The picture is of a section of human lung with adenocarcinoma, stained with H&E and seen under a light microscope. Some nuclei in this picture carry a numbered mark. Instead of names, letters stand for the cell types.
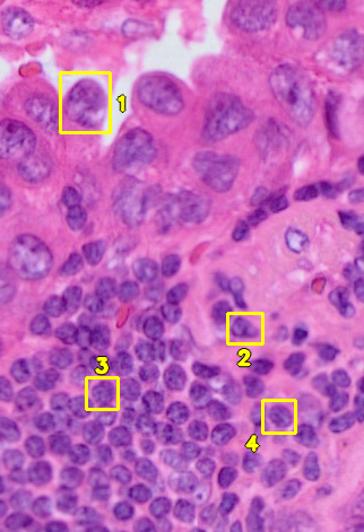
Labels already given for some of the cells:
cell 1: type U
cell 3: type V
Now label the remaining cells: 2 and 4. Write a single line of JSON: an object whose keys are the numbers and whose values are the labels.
{"2": "type V", "4": "type V"}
